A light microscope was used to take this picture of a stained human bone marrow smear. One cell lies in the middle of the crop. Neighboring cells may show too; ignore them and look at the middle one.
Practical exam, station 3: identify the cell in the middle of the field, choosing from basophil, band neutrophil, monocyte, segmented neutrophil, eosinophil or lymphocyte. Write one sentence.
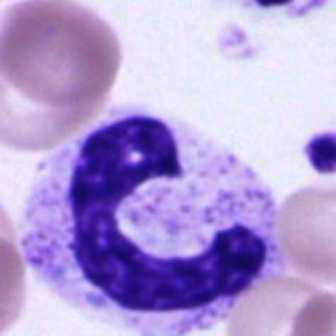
The cell centered in this field of view is a band neutrophil.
